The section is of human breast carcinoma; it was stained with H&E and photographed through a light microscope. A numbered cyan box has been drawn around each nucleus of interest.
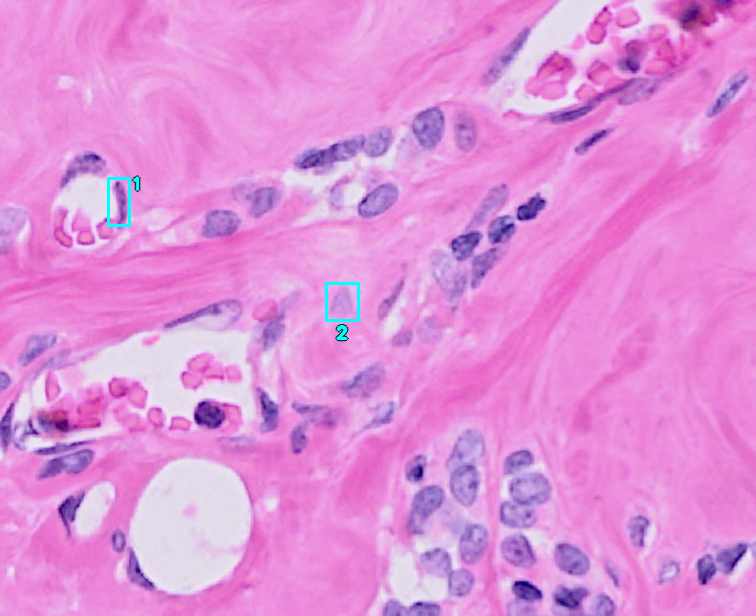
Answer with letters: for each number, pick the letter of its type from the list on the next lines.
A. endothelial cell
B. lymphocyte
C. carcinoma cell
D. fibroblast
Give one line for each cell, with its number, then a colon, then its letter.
1: A
2: D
